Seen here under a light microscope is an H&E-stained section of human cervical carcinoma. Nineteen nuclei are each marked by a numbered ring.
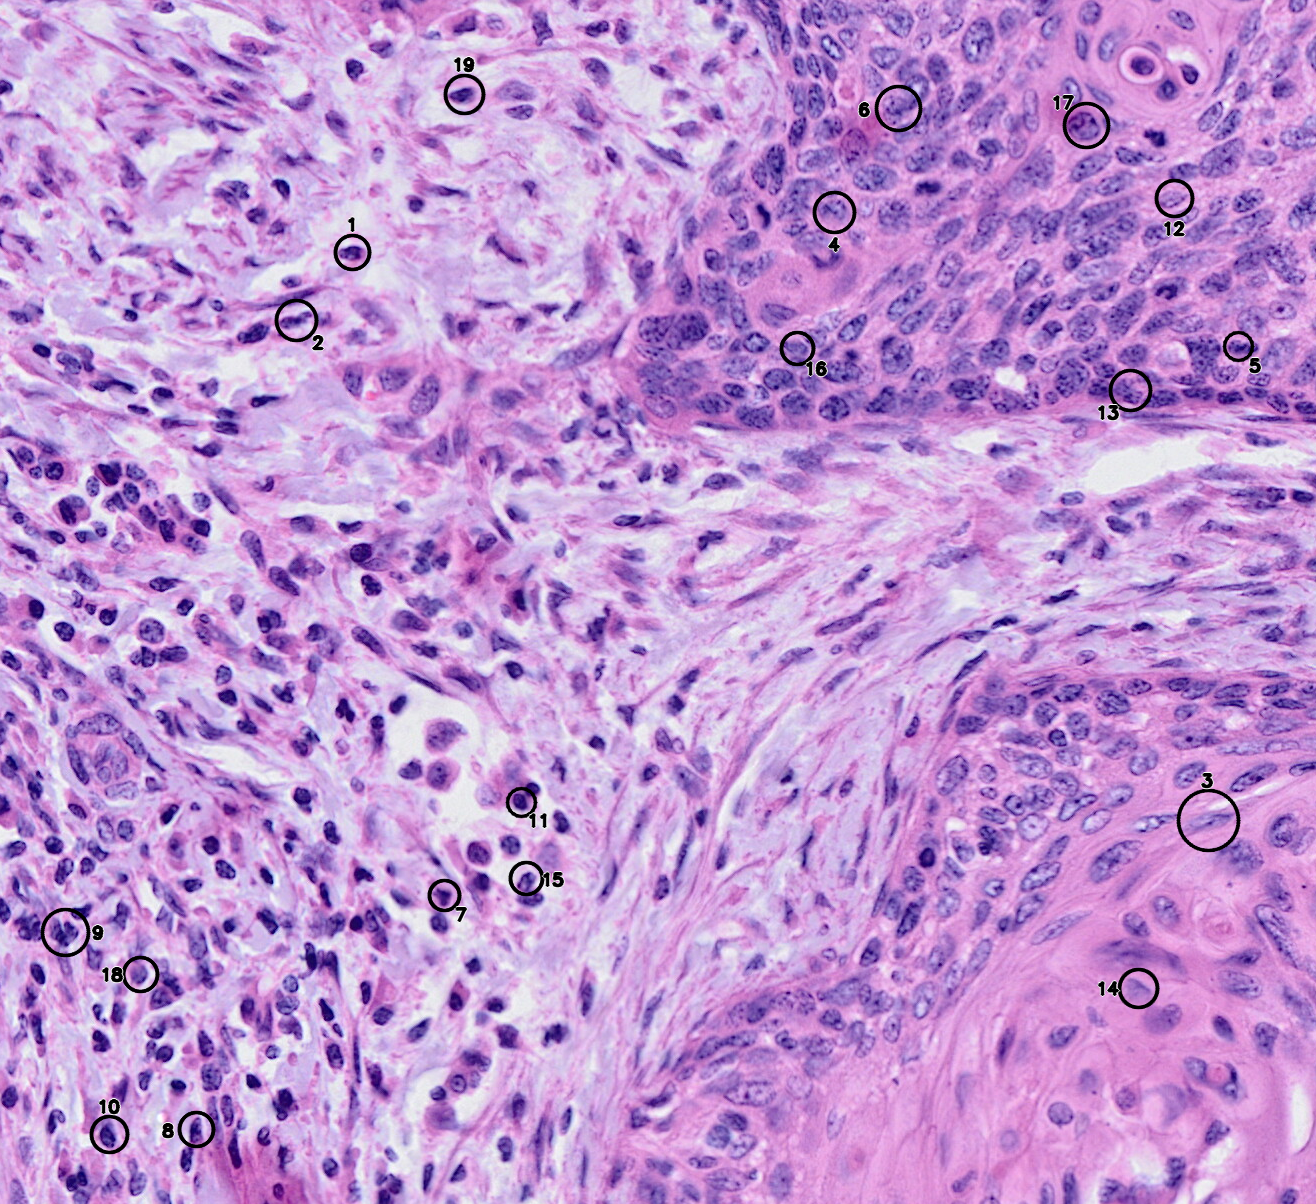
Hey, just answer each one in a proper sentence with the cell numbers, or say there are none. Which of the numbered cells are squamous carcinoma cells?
The cells to which the numbers 3, 4, 5, 6, 12, 13, 14, 16 and 17 refer are squamous carcinoma cells.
